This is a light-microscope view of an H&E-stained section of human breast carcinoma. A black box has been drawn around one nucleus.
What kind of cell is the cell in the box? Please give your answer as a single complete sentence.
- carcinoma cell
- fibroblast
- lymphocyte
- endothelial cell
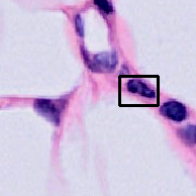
Typologically, the cell in the box is a lymphocyte in this section.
